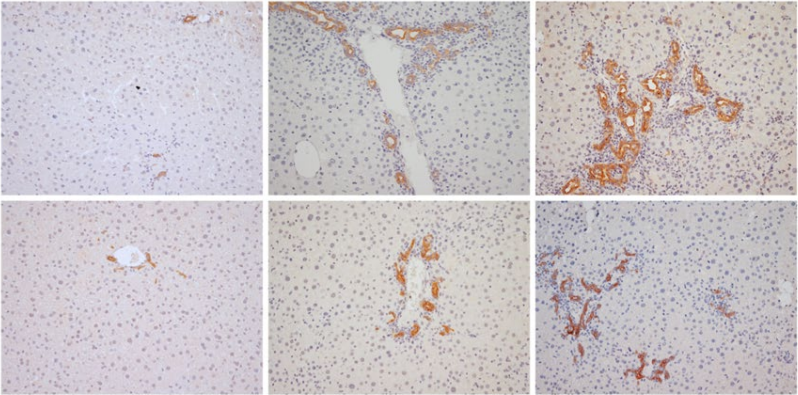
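Six low-power frames of liver: sheets of large polygonal hepatocytes with round blue nuclei and pale cytoplasm fill most of each field. Near vessels and portal spaces, small tubular structures lined by cuboidal cells stain brown. In some frames these are only a few isolated ducts beside a vessel; in others they multiply into crowded clusters of irregular, branching ductules surrounded by more small blue nuclei, spreading outward from the portal areas into the parenchyma. This picture of proliferating, brown-stained bile ductules around portal tracts is a ductular reaction, more extensive in some fields than in others.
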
